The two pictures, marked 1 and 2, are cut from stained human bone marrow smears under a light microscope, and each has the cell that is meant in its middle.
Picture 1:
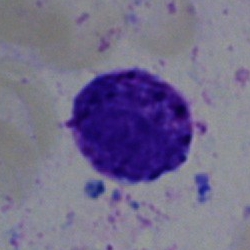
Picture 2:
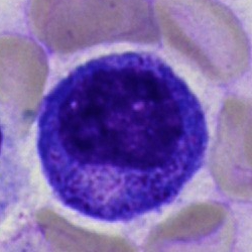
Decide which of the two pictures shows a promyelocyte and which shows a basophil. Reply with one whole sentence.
The cell in picture 1 is a basophil, and the one in picture 2 is a promyelocyte.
